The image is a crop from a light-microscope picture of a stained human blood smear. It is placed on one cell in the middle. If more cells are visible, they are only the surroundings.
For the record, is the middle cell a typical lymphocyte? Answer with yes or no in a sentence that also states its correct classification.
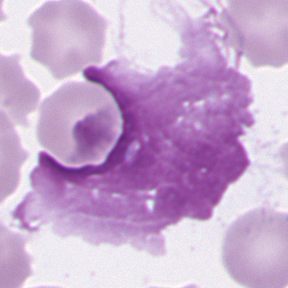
No, looking at the central cell, it is a smudge cell rather than a typical lymphocyte.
